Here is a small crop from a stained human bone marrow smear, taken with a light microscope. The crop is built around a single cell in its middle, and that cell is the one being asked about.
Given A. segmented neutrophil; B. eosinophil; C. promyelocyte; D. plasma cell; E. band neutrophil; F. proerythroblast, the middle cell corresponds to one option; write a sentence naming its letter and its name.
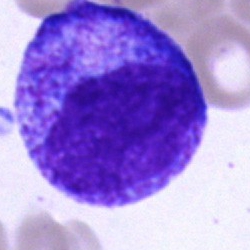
Correctly, option C names the cell in the middle a promyelocyte.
